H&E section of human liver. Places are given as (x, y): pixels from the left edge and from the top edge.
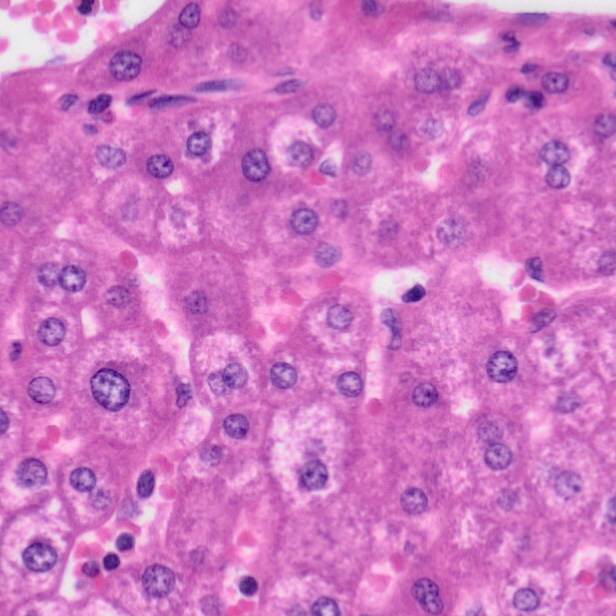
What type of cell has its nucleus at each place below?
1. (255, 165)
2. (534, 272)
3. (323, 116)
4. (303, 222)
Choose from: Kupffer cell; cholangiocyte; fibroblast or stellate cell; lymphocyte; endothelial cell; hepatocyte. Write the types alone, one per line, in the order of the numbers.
hepatocyte
endothelial cell
hepatocyte
hepatocyte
